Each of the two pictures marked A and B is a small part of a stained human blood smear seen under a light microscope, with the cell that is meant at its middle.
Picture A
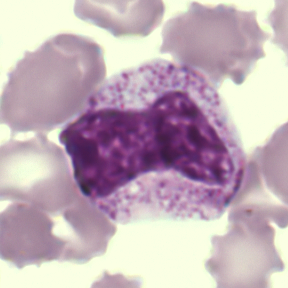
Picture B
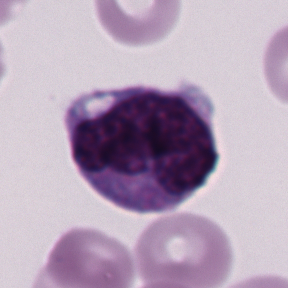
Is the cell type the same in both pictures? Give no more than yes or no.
no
